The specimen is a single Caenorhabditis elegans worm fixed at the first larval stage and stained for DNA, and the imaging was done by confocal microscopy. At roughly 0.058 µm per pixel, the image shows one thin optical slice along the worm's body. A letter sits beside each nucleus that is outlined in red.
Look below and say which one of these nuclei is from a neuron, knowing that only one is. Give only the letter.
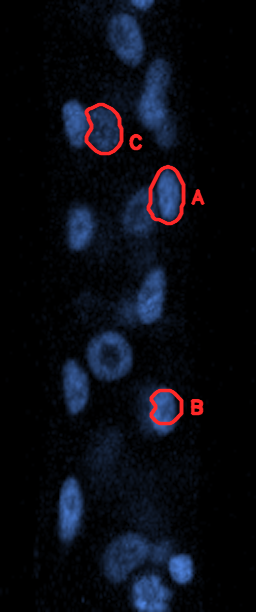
A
